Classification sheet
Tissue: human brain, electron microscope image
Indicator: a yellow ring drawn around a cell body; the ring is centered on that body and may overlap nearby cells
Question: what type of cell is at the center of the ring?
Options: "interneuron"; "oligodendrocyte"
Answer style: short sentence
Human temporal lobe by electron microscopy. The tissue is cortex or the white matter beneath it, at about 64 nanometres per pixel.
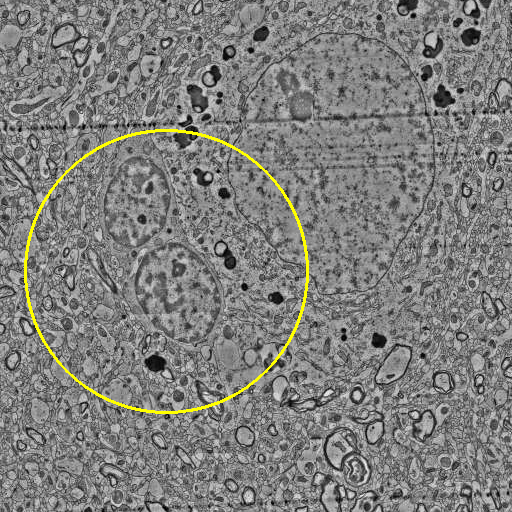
At the ring's center is an oligodendrocyte.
